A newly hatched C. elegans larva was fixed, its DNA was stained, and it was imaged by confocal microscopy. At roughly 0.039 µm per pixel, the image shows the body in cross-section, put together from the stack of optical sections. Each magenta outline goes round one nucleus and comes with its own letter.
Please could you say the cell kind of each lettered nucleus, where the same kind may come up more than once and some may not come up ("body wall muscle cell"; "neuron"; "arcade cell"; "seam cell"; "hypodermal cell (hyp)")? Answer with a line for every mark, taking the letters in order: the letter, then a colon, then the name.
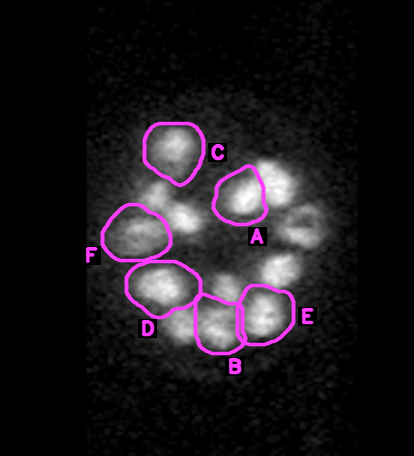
A: neuron
B: hypodermal cell (hyp)
C: body wall muscle cell
D: arcade cell
E: body wall muscle cell
F: seam cell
